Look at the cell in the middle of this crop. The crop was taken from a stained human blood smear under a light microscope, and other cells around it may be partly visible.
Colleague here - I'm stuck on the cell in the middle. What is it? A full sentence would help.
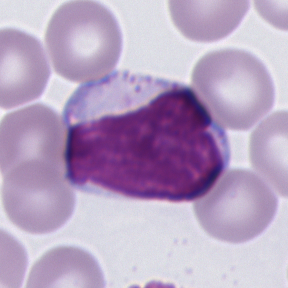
Standing at the centre of this crop is a large granular lymphocyte.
